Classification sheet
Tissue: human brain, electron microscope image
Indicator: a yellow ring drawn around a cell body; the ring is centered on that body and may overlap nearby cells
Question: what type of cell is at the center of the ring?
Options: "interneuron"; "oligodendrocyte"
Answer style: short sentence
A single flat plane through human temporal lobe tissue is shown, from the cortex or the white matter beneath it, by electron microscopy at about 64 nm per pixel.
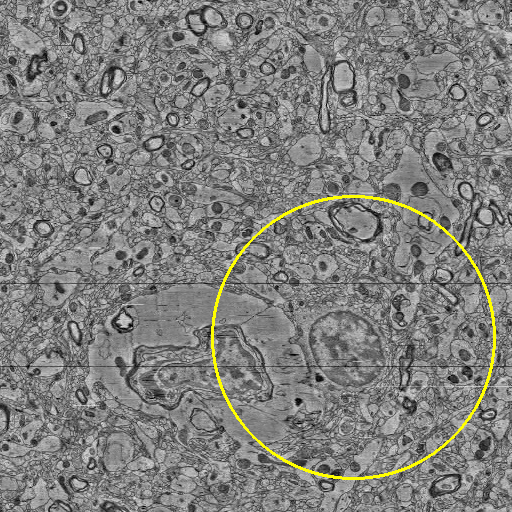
At the ring's center is an oligodendrocyte.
